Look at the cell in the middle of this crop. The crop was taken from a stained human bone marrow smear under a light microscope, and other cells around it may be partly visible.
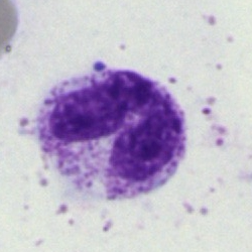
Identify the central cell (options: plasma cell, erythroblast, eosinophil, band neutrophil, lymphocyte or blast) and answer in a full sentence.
At the crop's centre, the cell is a band neutrophil.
